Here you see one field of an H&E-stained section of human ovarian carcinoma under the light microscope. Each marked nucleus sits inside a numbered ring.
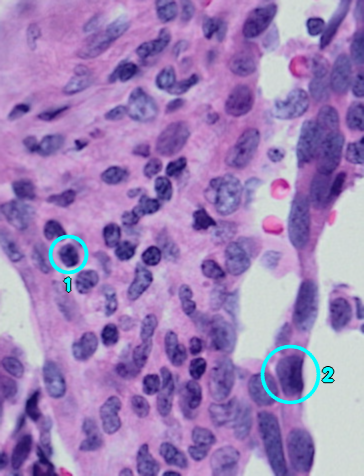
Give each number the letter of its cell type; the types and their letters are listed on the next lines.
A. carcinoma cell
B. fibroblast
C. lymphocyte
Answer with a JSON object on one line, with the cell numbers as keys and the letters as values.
{"1": "C", "2": "A"}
